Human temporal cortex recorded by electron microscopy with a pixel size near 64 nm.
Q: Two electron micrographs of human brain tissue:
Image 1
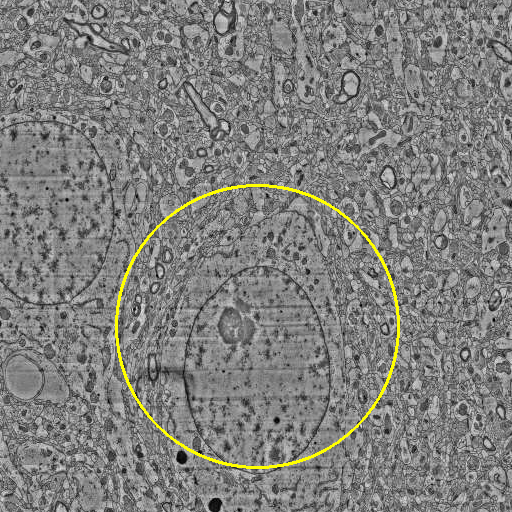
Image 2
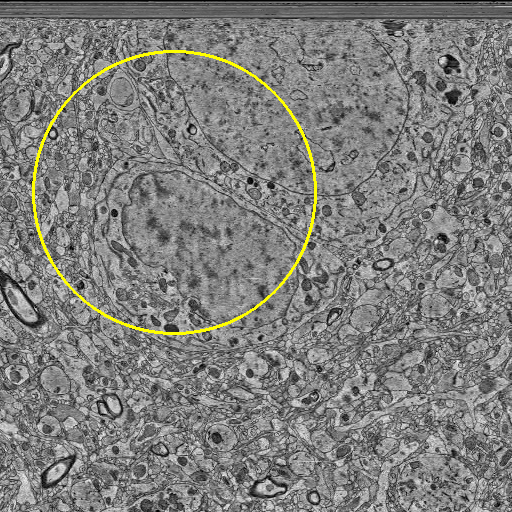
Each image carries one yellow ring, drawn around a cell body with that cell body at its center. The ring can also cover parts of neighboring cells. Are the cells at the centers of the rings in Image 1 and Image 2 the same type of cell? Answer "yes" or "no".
no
